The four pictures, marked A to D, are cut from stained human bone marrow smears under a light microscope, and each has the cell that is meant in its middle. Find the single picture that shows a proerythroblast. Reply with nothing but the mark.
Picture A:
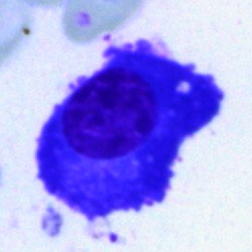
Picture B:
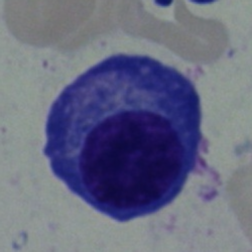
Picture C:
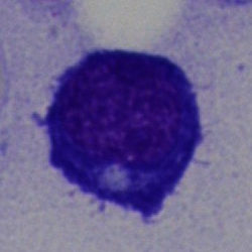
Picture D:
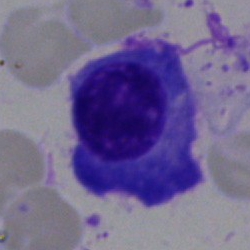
C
